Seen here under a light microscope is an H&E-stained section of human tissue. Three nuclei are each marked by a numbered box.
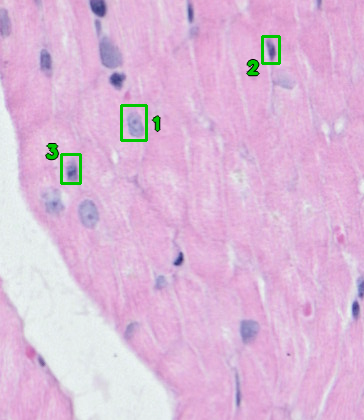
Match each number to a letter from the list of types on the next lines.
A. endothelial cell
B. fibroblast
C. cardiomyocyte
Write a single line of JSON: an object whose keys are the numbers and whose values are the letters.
{"1": "C", "2": "A", "3": "A"}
